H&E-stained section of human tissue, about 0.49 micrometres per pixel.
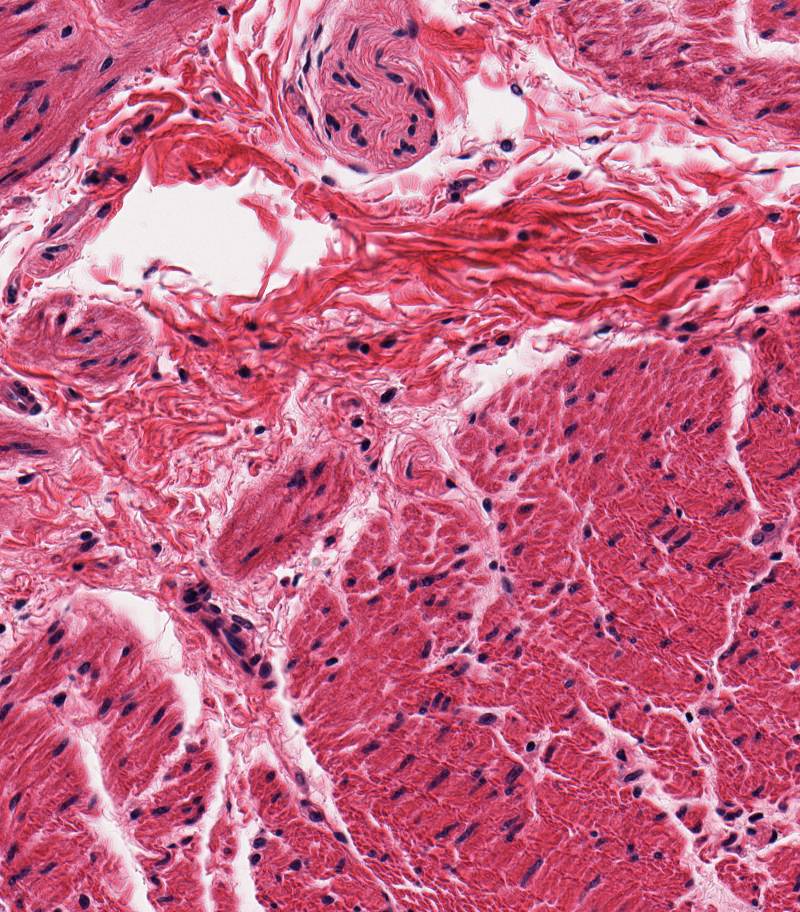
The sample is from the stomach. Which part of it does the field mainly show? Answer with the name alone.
smooth muscle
